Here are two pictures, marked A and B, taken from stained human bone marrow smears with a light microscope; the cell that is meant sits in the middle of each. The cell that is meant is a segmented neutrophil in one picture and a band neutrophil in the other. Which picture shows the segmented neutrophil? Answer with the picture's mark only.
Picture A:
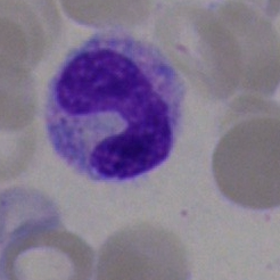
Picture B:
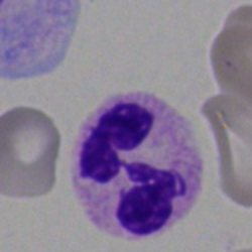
B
